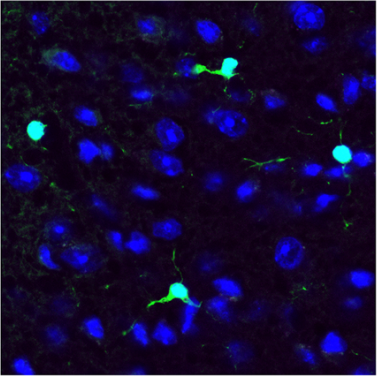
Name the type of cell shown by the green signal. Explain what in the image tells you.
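Microglia. Green cells are scattered among many blue nuclei.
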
